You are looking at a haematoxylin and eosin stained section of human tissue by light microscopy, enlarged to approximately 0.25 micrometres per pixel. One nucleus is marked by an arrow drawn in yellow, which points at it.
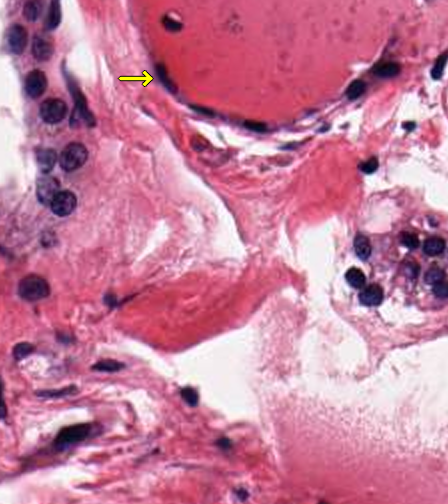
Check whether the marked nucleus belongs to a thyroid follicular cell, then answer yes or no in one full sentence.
Yes, the cell that houses the marked nucleus is a thyroid follicular cell.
